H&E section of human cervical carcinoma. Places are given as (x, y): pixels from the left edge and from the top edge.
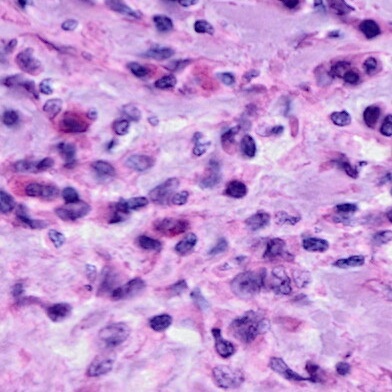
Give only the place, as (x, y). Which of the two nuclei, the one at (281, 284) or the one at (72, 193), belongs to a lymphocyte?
(72, 193)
